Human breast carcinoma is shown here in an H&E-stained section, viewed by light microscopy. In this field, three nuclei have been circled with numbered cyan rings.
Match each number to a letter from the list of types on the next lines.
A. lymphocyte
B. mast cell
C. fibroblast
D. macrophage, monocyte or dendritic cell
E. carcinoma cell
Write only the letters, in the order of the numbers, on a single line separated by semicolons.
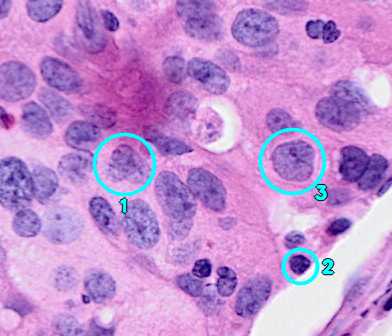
E; A; E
